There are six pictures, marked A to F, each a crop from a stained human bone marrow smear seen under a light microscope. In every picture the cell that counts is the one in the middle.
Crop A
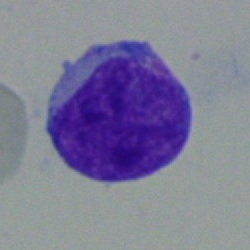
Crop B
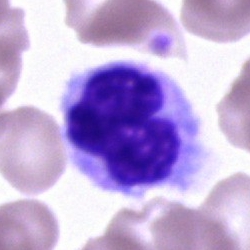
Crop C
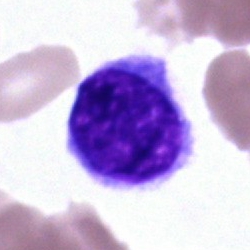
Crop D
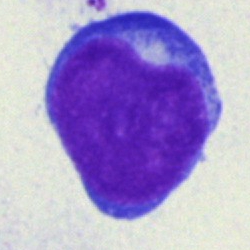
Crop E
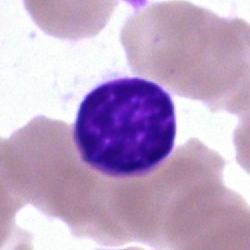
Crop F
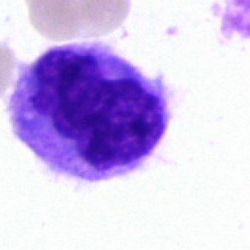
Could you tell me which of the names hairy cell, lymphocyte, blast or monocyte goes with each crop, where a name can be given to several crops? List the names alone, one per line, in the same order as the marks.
blast
monocyte
hairy cell
blast
lymphocyte
monocyte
